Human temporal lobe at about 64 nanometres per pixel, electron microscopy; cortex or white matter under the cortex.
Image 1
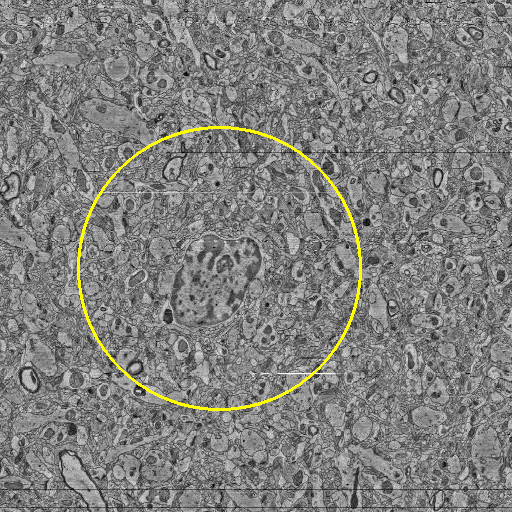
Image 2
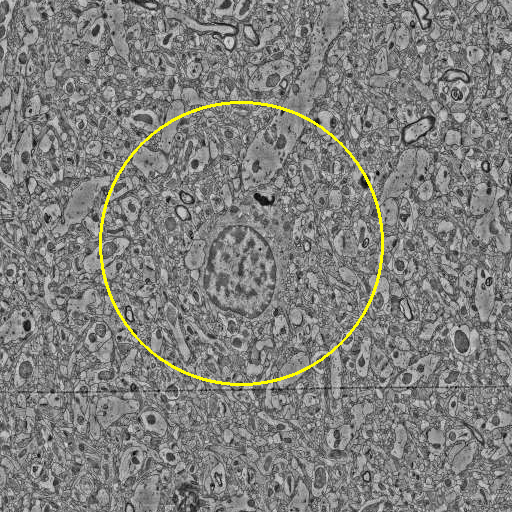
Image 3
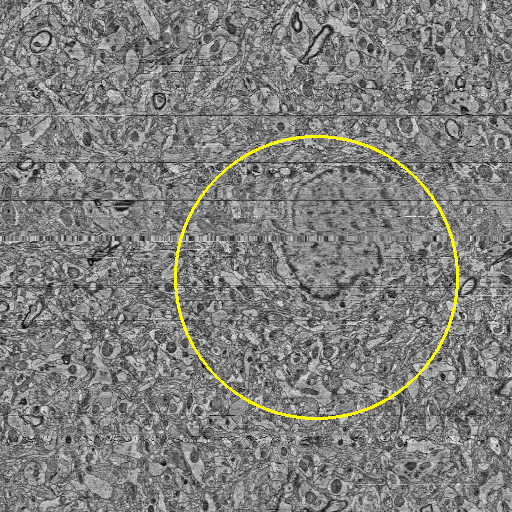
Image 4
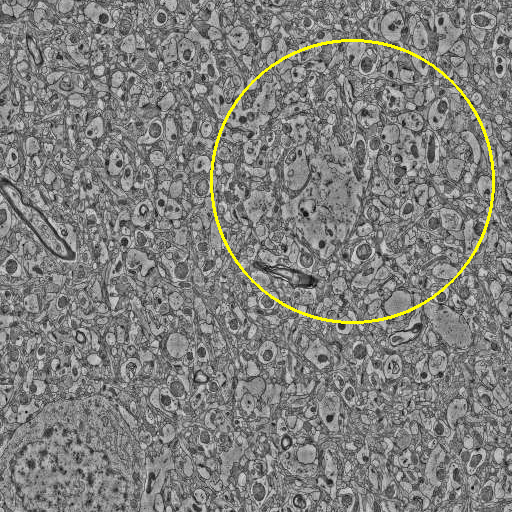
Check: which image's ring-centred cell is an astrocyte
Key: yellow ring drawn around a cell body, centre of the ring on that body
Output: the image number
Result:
4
